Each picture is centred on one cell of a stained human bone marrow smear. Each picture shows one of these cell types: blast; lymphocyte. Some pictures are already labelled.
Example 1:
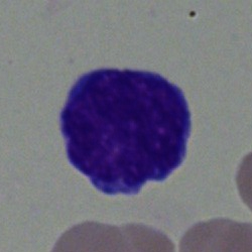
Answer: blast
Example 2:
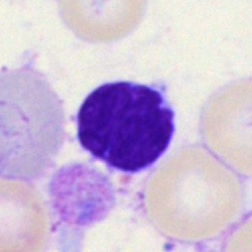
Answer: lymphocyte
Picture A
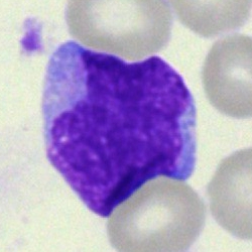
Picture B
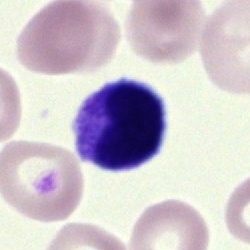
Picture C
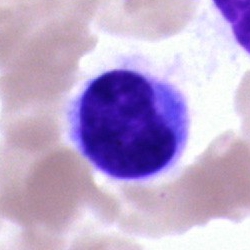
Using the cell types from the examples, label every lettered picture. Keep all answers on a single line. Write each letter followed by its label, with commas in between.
A blast, B lymphocyte, C lymphocyte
